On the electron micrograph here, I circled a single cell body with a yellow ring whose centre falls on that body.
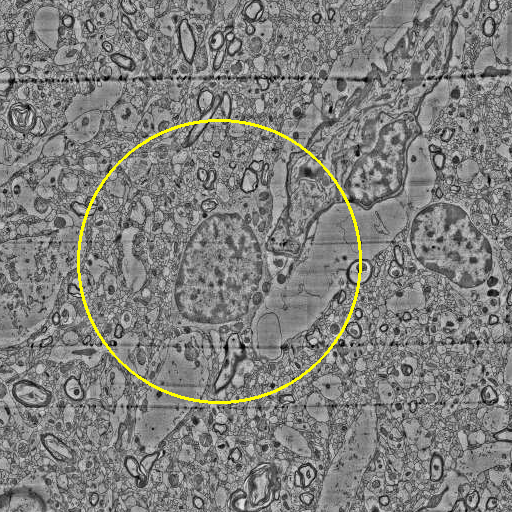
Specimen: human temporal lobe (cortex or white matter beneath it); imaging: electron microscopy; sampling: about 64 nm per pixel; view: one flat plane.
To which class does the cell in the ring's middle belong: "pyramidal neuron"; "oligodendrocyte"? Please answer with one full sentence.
In this picture, the cell body circled at the ring's centre belongs to an oligodendrocyte.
